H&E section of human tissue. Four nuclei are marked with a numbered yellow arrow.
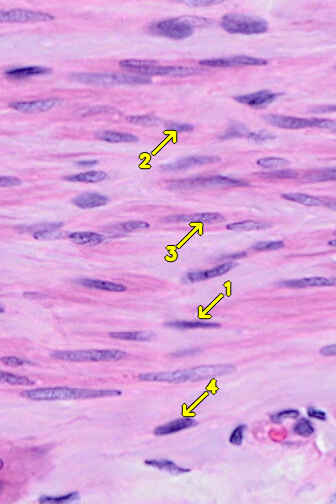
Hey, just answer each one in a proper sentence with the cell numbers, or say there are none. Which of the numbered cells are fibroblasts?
Cell 4 is a fibroblast, while all remaining marked cells are of other types.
